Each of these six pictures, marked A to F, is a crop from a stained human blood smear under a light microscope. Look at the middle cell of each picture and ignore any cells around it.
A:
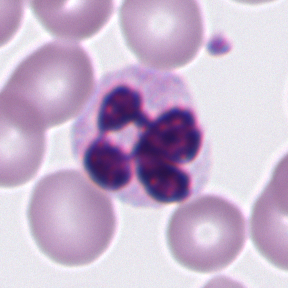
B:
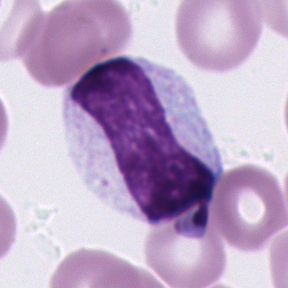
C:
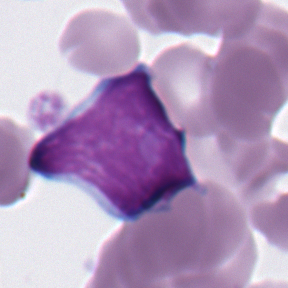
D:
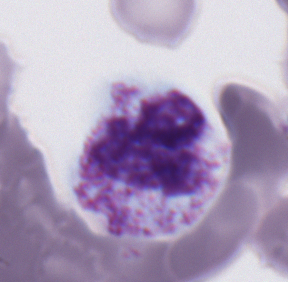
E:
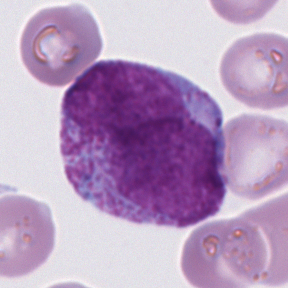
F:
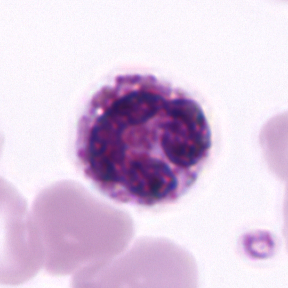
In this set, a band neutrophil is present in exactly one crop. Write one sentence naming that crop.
Of these crops, it is crop B that shows a band neutrophil.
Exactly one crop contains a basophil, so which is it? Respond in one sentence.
The crop carrying a basophil at the center is crop D.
